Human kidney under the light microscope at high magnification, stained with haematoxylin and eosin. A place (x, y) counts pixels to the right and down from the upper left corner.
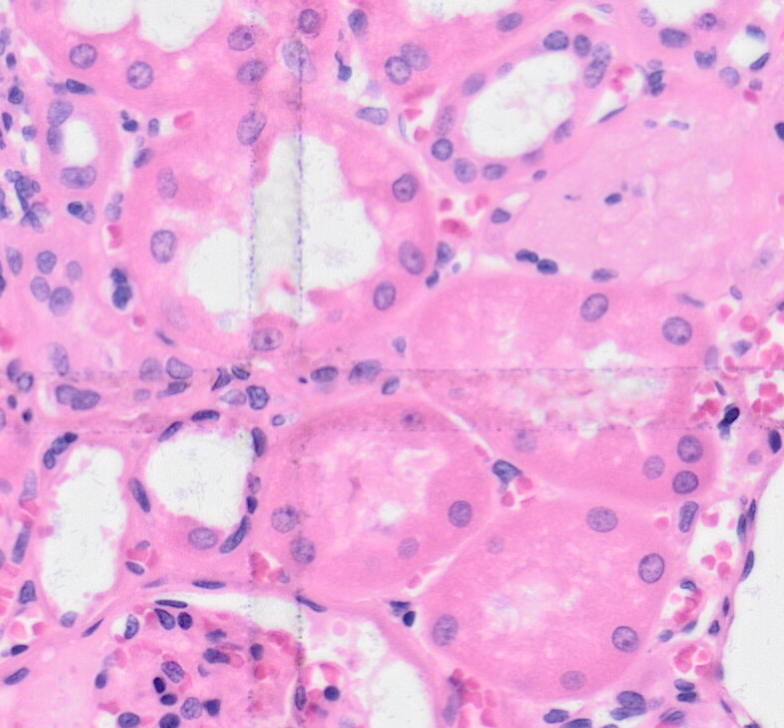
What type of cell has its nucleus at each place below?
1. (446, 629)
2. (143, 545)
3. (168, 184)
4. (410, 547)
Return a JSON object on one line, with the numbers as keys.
{"1": "proximal tubule cell", "2": "endothelial cell", "3": "proximal tubule cell", "4": "proximal tubule cell"}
